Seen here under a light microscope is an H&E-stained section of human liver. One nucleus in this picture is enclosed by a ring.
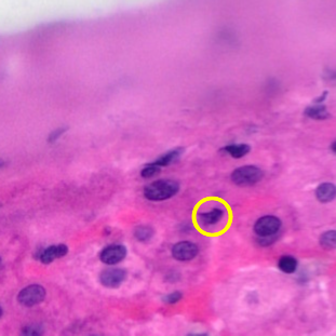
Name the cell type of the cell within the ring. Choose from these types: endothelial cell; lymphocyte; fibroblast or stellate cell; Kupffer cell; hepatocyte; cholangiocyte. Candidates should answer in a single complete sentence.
Labelled by cell type, the cell within the ring is a fibroblast or stellate cell.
